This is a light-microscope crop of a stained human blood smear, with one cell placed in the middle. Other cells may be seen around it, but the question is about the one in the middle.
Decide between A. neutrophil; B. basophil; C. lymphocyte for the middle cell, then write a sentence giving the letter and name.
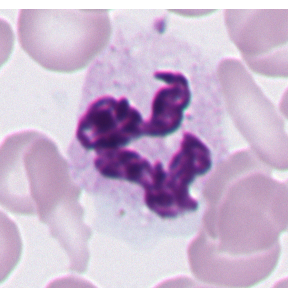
What sits in the middle of the crop is a neutrophil, and option A is correct.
